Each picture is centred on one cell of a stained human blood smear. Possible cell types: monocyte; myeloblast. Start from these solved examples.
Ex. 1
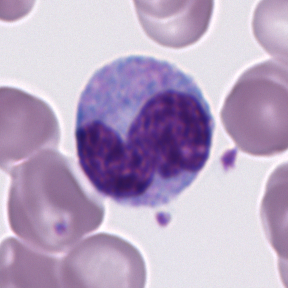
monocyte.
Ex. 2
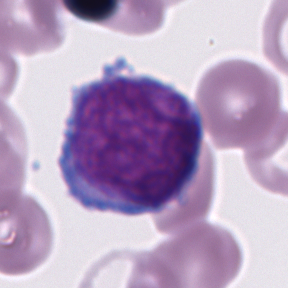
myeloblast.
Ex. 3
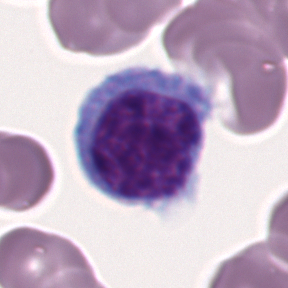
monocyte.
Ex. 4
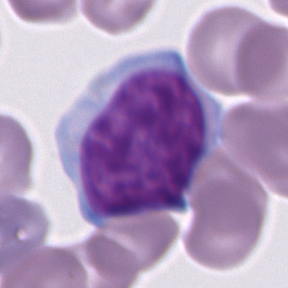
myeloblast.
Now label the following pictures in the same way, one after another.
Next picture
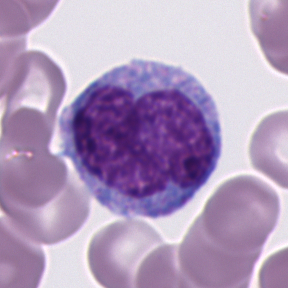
monocyte.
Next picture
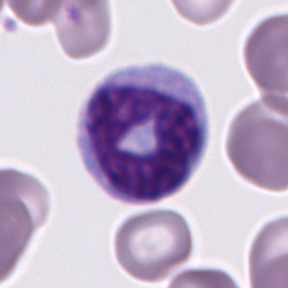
monocyte.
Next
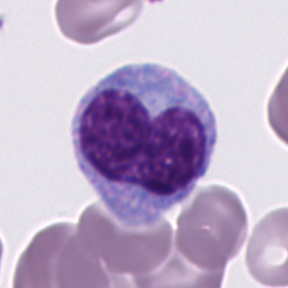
monocyte.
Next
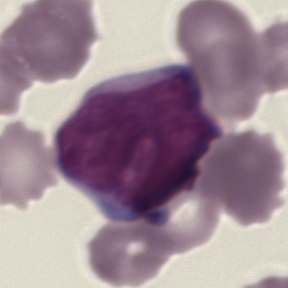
myeloblast.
